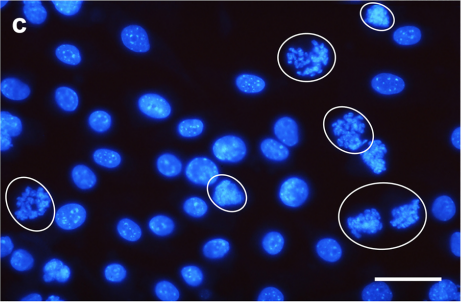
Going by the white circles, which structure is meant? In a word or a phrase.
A: aggregates of chromosomal structures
